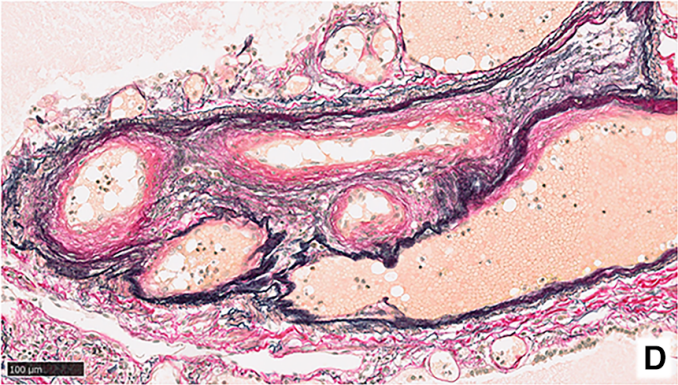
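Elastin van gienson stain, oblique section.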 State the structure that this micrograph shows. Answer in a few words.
several thin blood vascular structures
